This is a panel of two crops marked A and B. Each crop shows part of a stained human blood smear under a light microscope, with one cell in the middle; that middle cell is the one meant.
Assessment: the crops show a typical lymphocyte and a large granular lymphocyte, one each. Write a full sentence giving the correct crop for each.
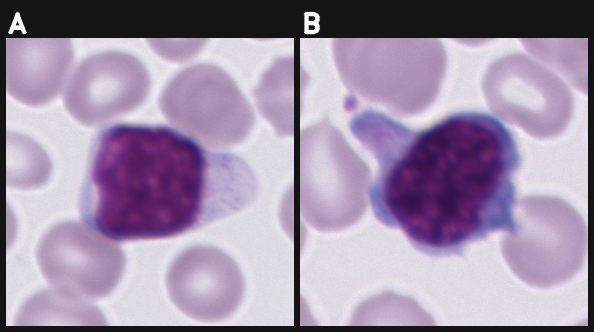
The one in crop A is a large granular lymphocyte, and the one in crop B is a typical lymphocyte.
